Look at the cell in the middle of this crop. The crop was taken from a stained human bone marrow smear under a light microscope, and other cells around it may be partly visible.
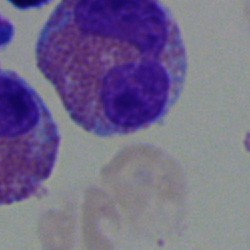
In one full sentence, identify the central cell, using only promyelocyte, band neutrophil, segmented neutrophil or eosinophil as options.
Among the cells in view, the one in the middle is an eosinophil.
